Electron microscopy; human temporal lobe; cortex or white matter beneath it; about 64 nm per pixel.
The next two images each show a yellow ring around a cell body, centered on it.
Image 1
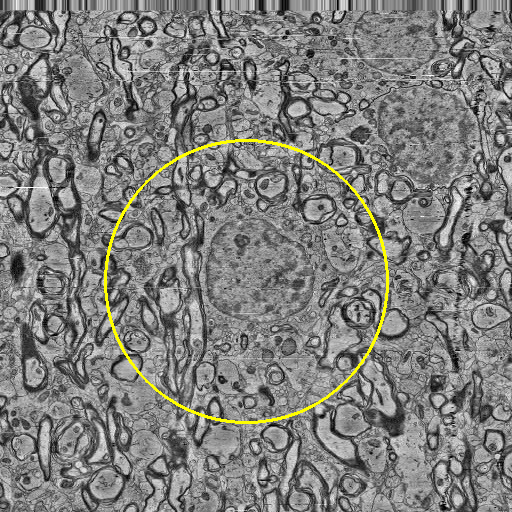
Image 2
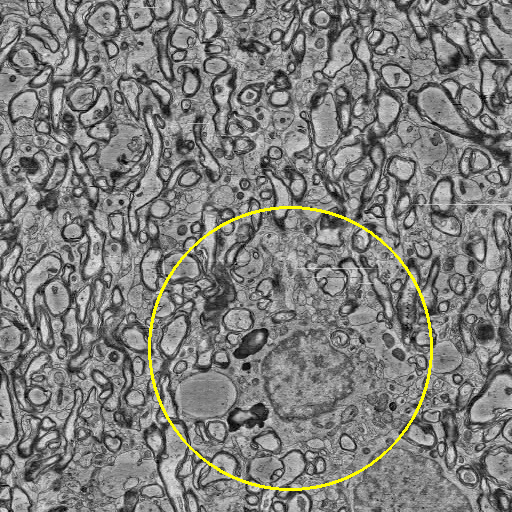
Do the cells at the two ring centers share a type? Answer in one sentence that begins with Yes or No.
Yes, across the two images the cells at the ring centers share one type.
